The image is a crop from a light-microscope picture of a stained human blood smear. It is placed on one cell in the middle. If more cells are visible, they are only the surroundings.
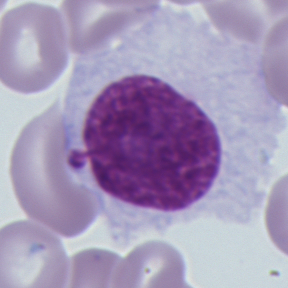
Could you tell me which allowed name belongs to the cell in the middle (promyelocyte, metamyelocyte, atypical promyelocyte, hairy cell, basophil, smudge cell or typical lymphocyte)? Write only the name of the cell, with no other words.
hairy cell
